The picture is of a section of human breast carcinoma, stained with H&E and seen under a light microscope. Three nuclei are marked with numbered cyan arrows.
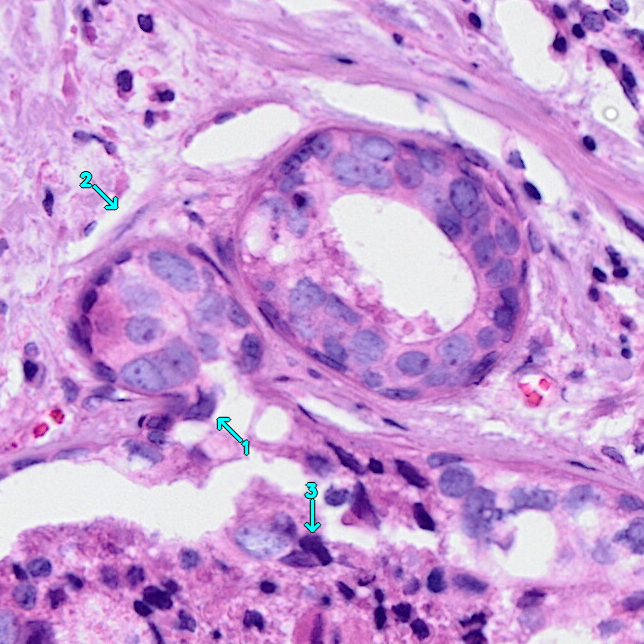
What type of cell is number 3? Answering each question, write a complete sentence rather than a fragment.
To a carcinoma cell belongs the nucleus marked 3.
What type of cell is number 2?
Identified by the number 2, the cell is a fibroblast.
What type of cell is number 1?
The cell tagged with 1 in this tissue section is a carcinoma cell.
